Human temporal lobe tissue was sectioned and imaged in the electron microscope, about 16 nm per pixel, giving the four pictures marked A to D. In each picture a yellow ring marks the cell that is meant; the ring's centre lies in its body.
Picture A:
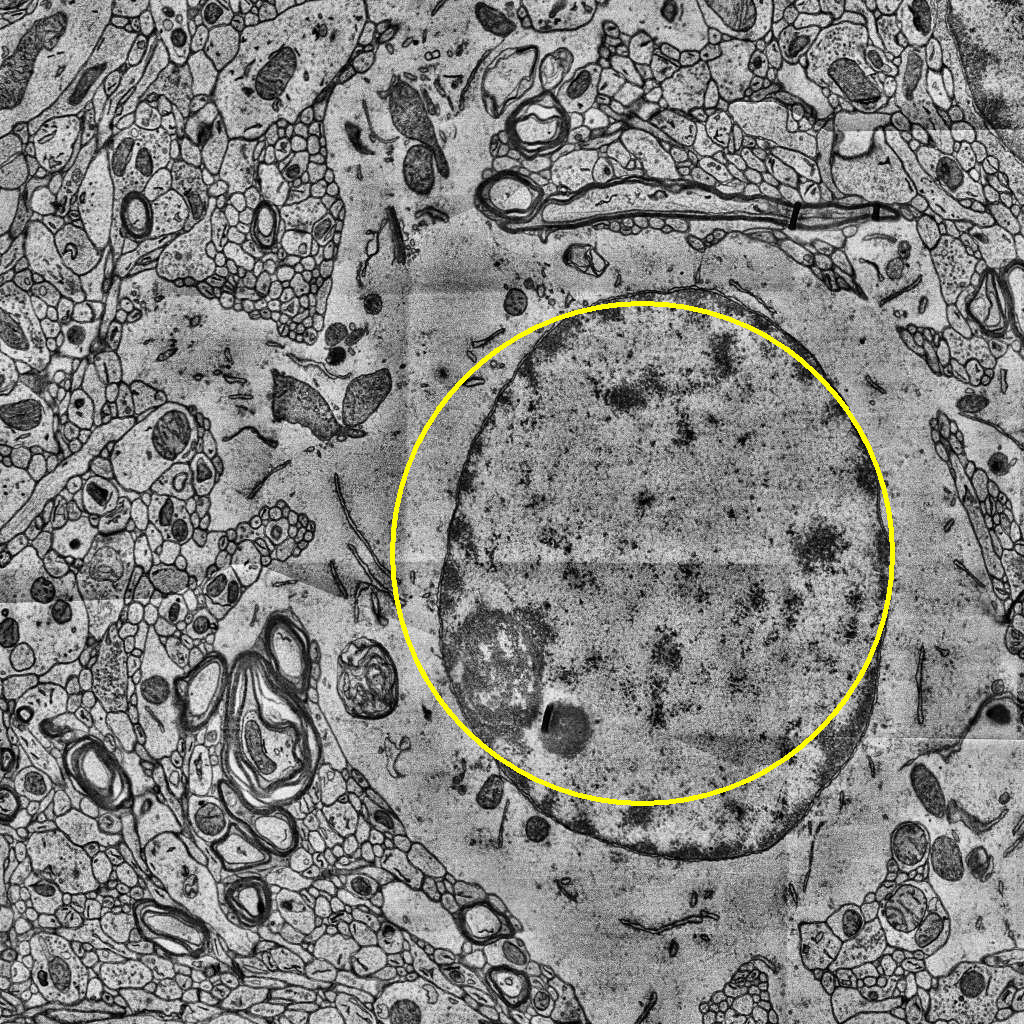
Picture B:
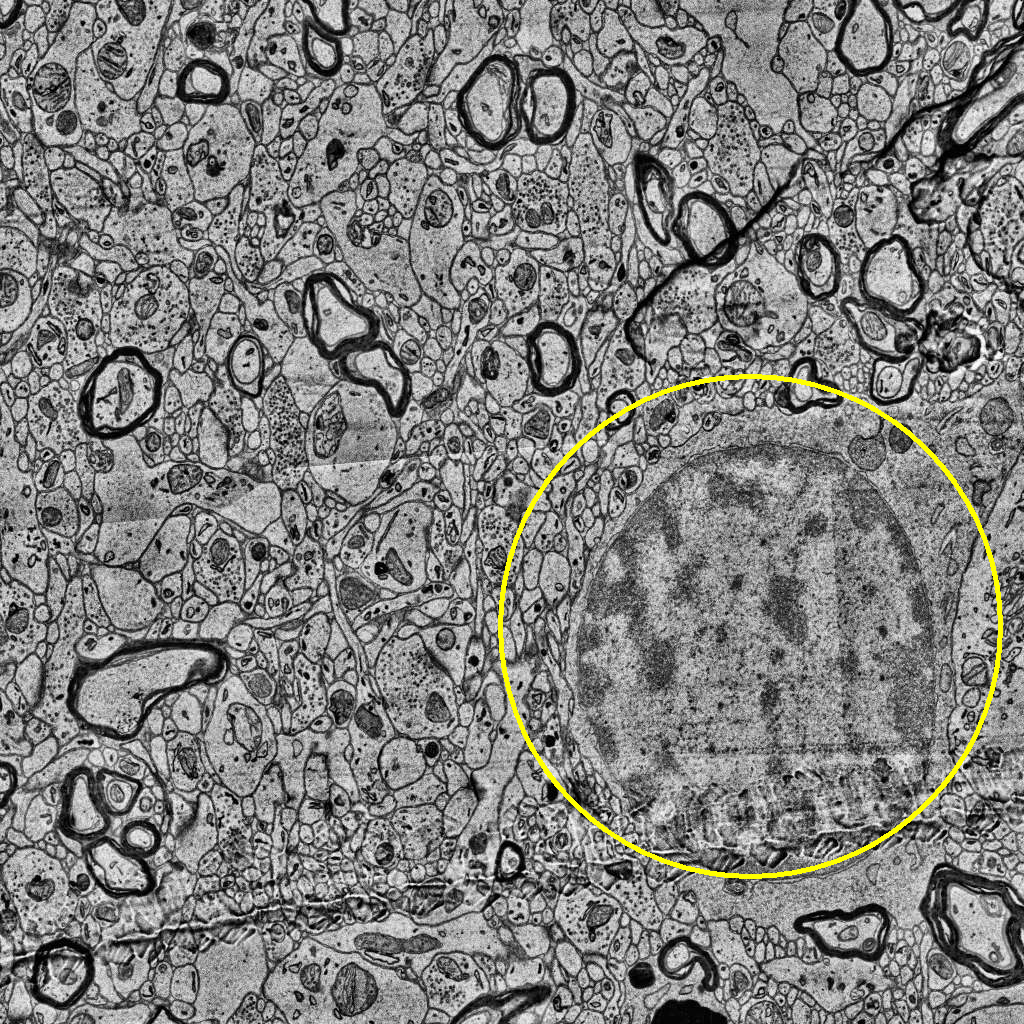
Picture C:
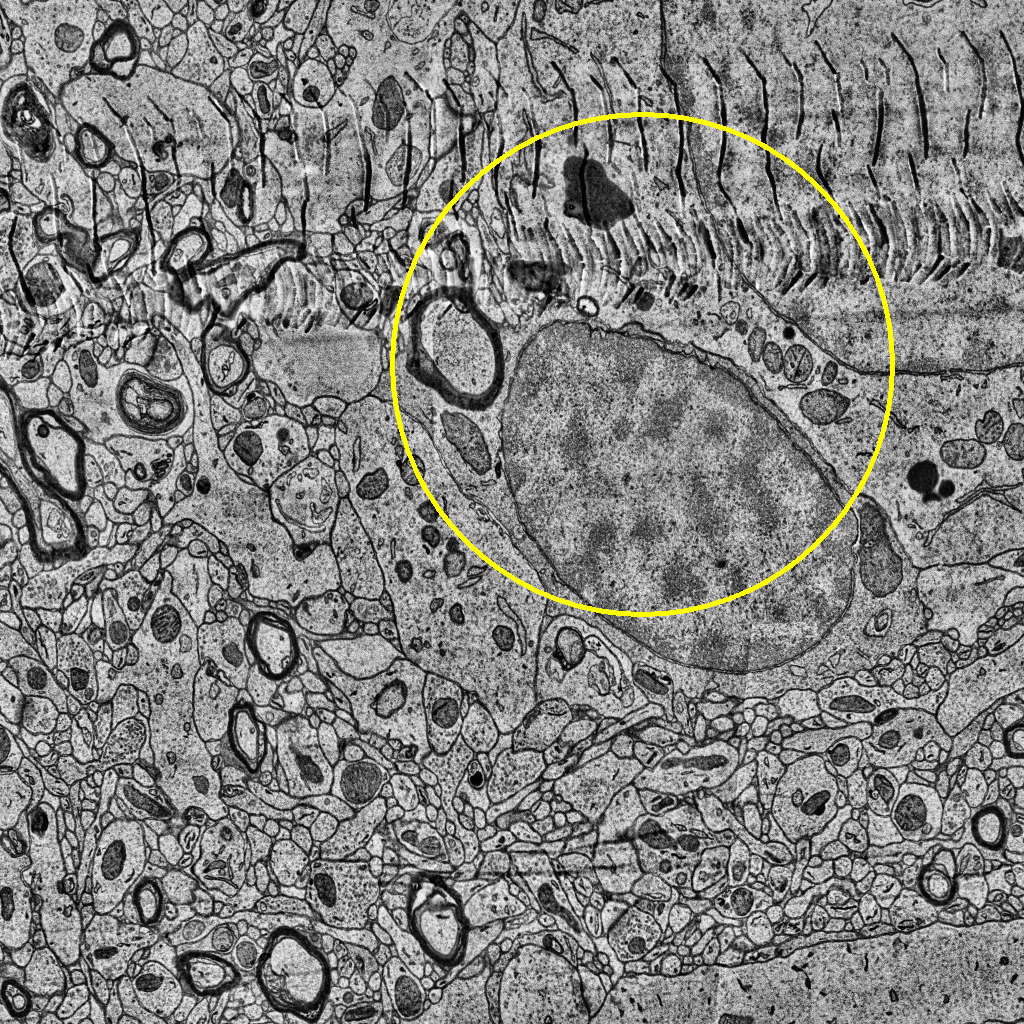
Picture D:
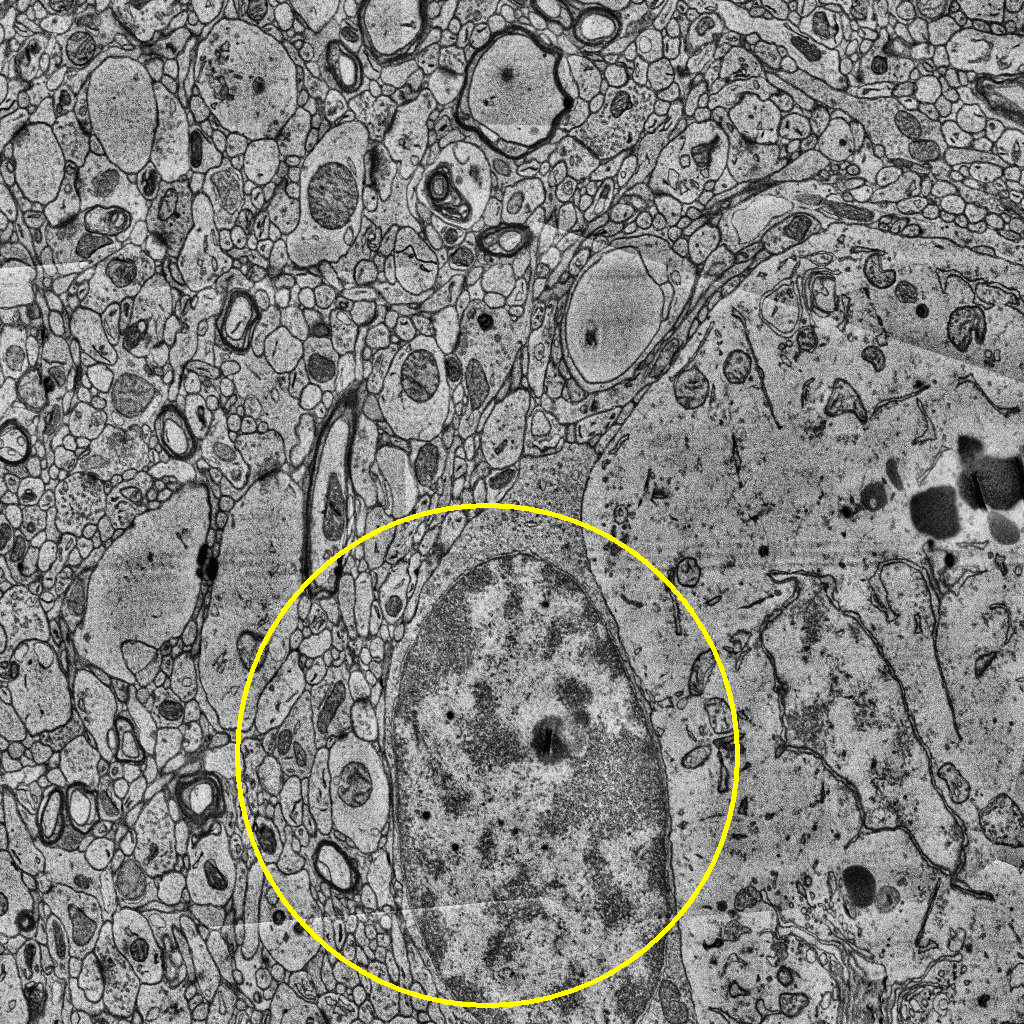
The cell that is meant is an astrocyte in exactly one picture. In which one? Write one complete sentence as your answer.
Picture A shows the astrocyte.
